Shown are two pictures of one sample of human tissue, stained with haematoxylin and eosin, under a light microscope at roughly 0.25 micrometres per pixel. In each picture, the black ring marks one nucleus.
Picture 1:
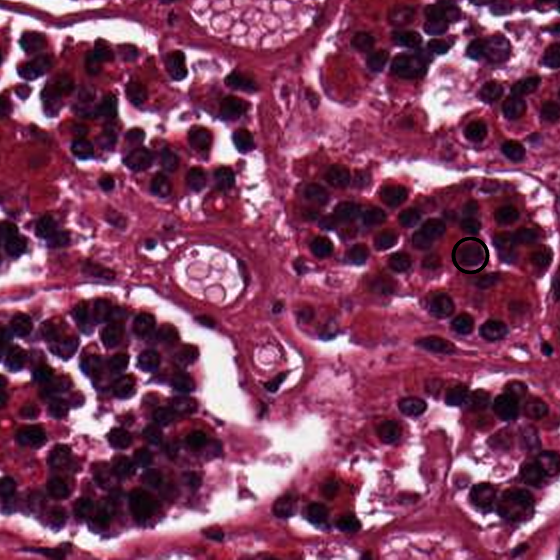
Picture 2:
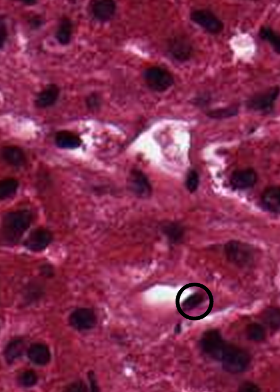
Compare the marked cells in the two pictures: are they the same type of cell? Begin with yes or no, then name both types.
No, the first is an anterior pituitary cell and the second an endothelial cell.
